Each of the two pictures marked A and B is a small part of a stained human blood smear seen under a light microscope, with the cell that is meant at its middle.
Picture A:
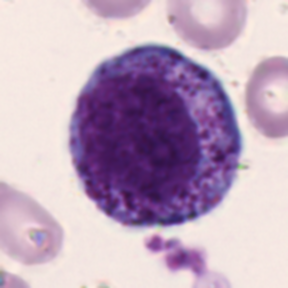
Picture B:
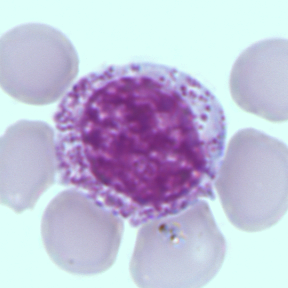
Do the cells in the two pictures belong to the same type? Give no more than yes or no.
no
